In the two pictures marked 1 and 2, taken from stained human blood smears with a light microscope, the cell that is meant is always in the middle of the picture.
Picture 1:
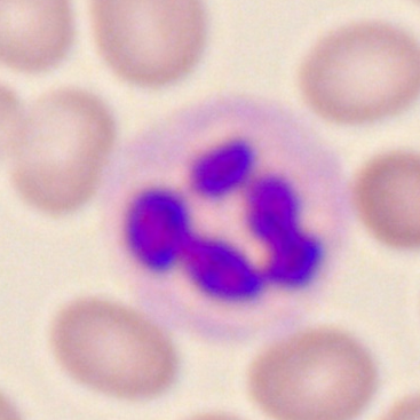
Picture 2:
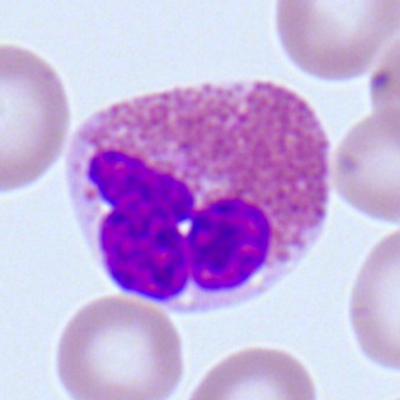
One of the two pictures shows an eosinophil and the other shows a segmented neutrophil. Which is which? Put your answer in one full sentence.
Picture 1 is of a segmented neutrophil, and picture 2 is of an eosinophil.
